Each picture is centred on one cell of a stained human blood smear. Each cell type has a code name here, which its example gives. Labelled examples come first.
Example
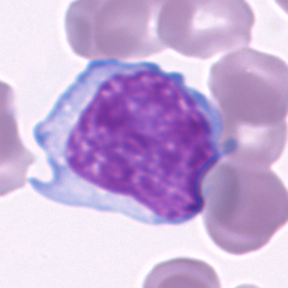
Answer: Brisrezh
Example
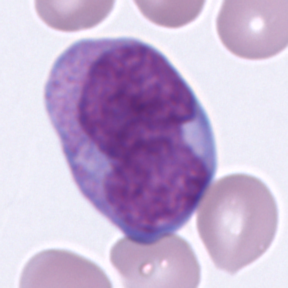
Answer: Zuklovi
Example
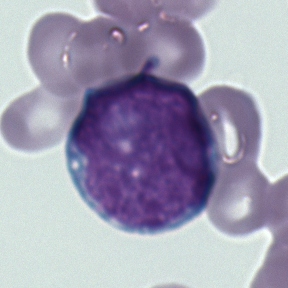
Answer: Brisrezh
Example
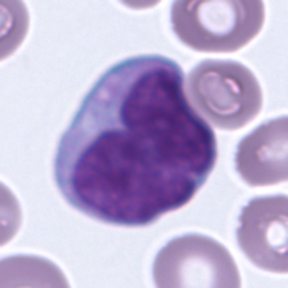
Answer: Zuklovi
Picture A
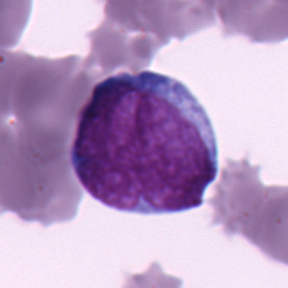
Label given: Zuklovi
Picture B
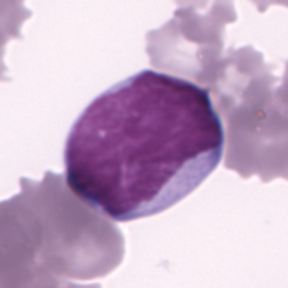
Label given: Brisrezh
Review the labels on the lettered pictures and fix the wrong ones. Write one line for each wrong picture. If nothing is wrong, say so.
A is labelled Zuklovi; correct label: Brisrezh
